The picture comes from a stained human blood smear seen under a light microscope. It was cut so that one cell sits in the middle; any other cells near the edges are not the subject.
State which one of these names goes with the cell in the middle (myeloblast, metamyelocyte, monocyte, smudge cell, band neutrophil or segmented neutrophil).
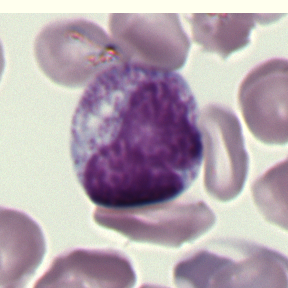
metamyelocyte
